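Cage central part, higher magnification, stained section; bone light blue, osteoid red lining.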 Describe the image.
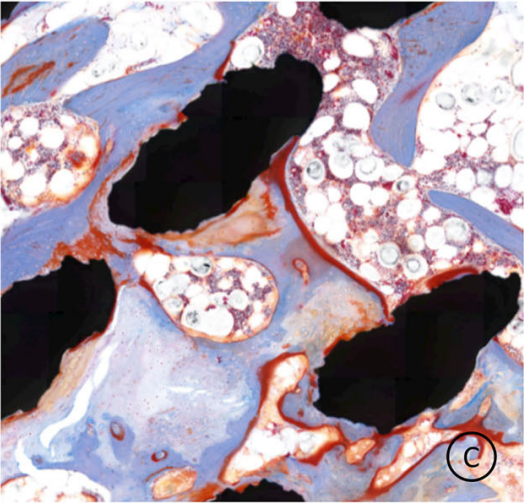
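The marrow spaces are filled with many clear round fat vacuoles mixed with small red-purple cells, giving the tissue a whitish bubbly look. The tissue lacks crowded sheets of inflammatory cells.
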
